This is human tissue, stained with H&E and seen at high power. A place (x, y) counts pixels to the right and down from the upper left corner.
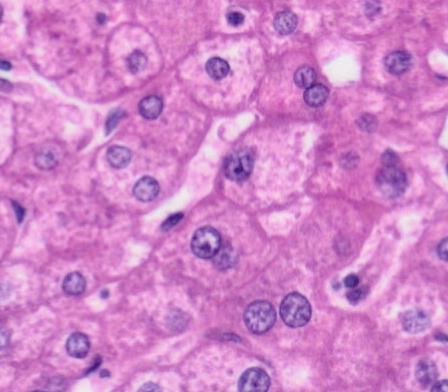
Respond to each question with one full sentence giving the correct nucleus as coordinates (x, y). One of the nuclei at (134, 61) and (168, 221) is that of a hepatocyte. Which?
Of the two nuclei, the one sitting at (134, 61) belongs to a hepatocyte.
